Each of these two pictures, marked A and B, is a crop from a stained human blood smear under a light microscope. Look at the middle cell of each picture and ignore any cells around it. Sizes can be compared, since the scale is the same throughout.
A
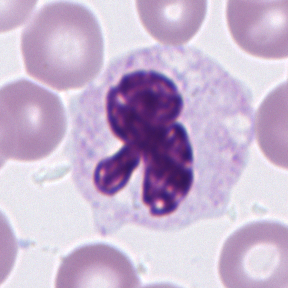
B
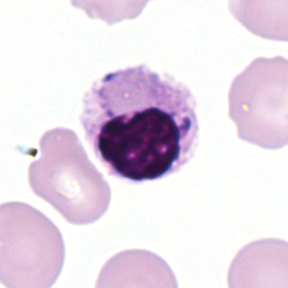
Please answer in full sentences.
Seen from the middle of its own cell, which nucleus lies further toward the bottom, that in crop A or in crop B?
It is the nucleus in crop B that lies further toward the bottom of its cell.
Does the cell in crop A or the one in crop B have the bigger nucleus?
It is the nucleus in crop A, about 2 times as large in area as the one in crop B.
